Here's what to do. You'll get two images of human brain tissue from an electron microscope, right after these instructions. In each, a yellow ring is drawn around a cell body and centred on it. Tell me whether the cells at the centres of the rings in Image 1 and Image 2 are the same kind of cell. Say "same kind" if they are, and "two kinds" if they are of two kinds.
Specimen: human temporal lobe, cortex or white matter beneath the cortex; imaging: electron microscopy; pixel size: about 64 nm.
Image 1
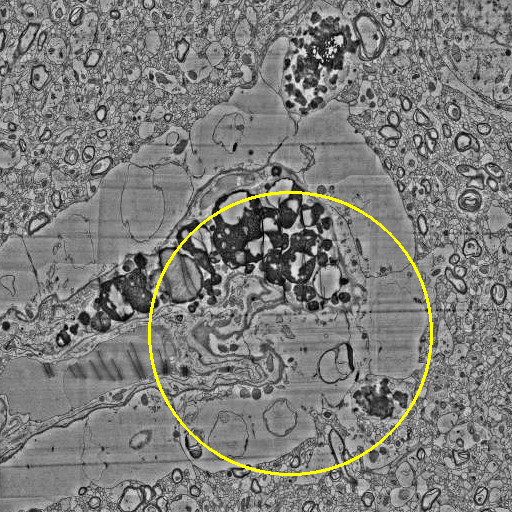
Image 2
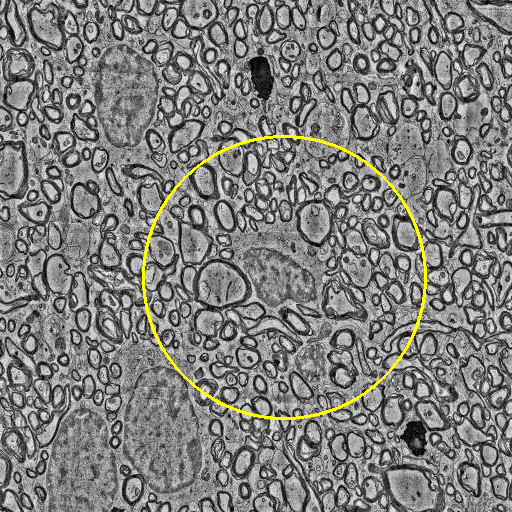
same kind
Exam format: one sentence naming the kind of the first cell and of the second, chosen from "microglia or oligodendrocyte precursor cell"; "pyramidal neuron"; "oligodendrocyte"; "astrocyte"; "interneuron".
The ring centre holds an oligodendrocyte in each of the two pictures.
